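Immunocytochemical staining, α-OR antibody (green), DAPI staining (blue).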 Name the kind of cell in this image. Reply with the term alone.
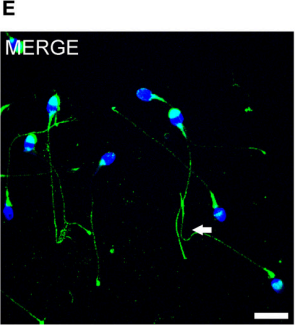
Spermatozoa.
